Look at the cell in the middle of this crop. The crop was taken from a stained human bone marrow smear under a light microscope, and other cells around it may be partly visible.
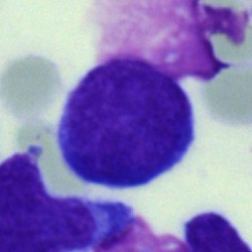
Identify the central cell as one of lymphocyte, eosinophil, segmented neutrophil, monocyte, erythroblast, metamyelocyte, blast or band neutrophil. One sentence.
The middle cell in this particular crop is a blast.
